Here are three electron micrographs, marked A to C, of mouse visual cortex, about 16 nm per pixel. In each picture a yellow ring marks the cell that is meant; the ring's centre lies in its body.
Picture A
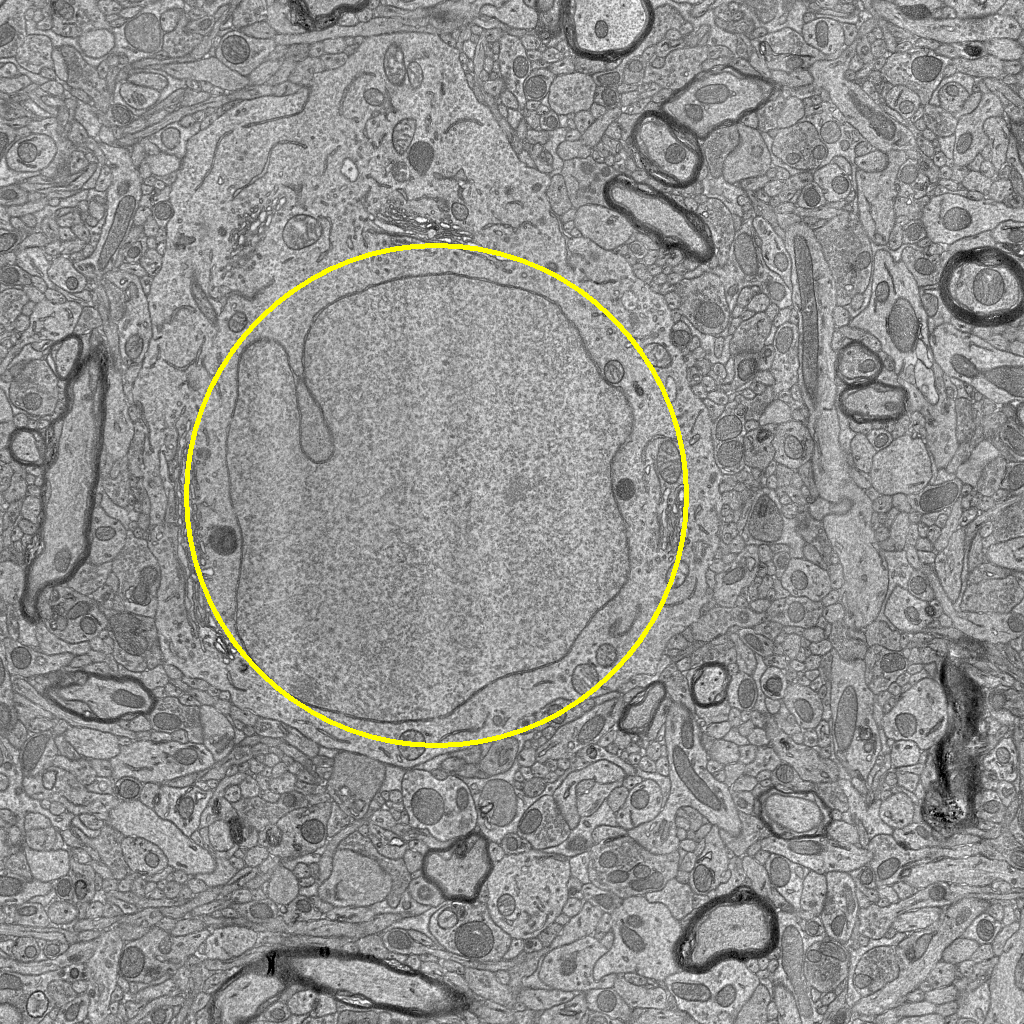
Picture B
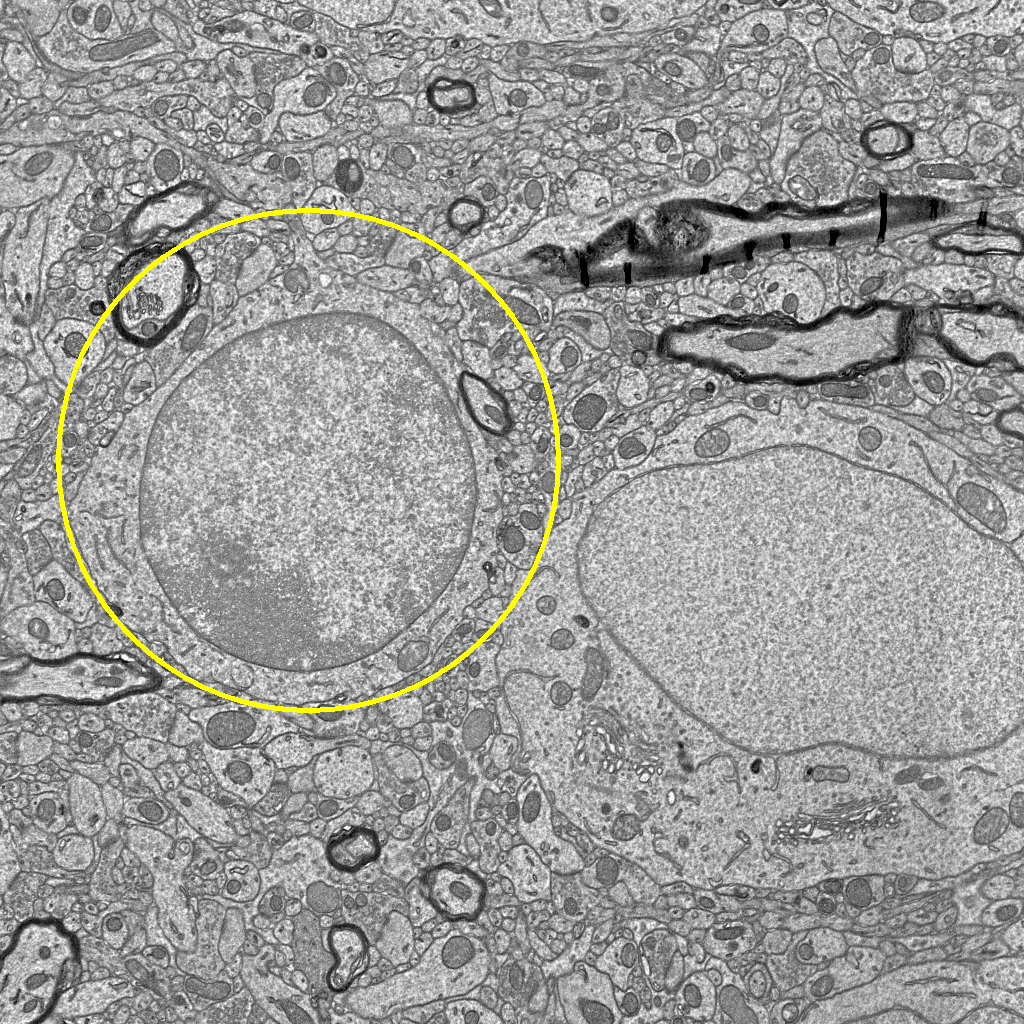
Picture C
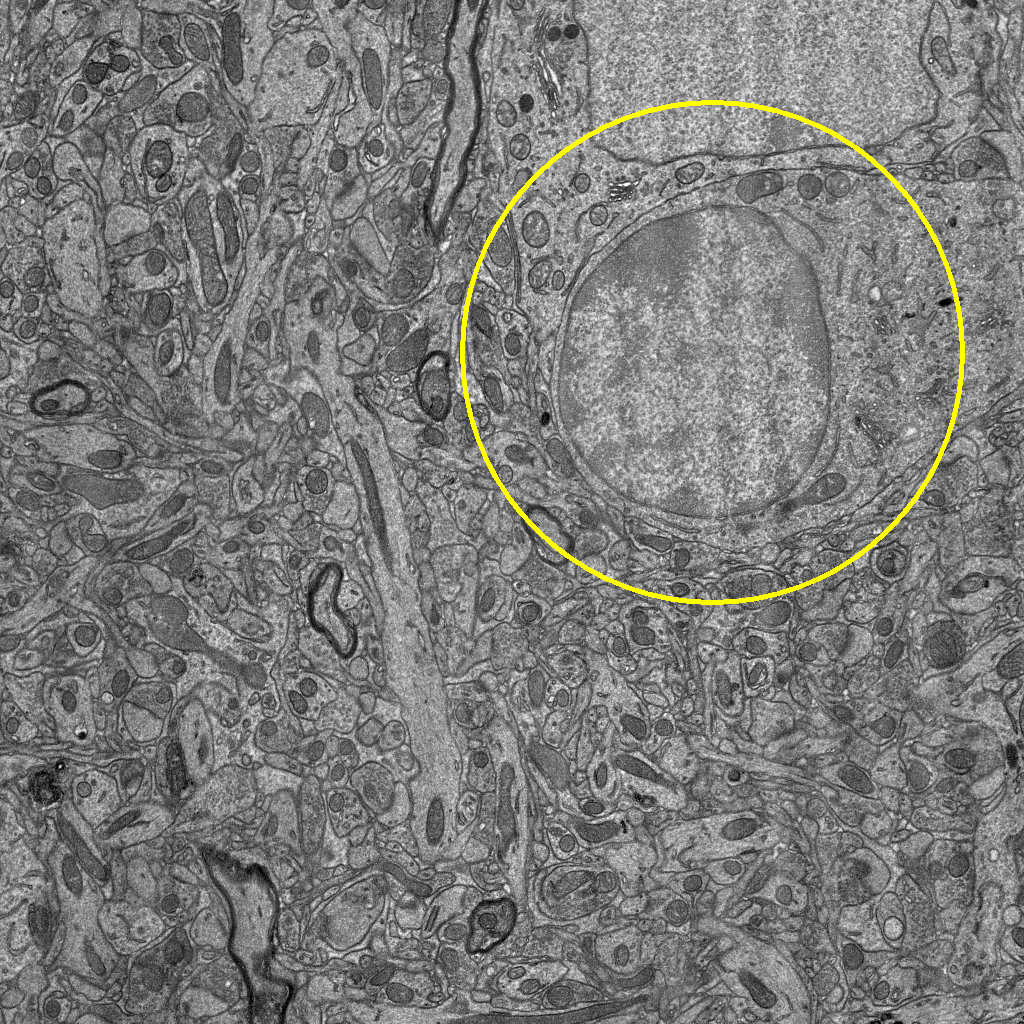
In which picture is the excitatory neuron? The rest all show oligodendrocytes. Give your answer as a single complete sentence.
Picture A is the one that shows the excitatory neuron.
